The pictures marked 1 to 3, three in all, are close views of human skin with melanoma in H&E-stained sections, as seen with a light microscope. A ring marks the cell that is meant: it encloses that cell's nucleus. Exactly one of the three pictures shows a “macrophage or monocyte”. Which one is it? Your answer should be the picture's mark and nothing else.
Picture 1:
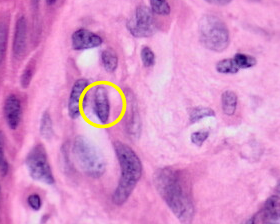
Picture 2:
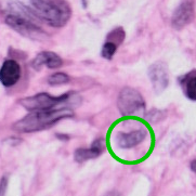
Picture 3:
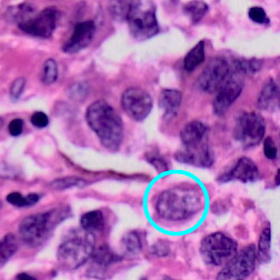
2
